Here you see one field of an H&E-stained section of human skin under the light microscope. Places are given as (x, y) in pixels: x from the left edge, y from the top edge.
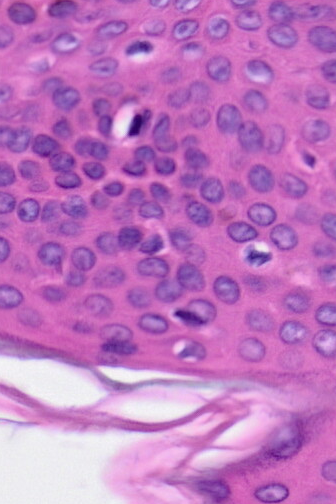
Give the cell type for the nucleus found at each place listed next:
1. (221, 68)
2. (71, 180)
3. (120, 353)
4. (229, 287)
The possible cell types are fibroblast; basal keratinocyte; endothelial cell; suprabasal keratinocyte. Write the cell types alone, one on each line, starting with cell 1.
suprabasal keratinocyte
basal keratinocyte
suprabasal keratinocyte
suprabasal keratinocyte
